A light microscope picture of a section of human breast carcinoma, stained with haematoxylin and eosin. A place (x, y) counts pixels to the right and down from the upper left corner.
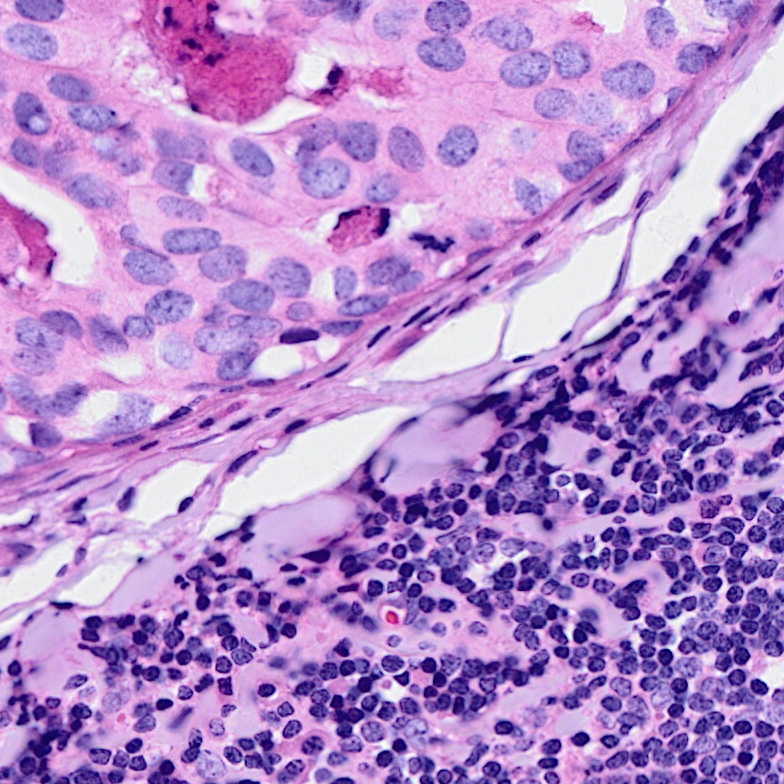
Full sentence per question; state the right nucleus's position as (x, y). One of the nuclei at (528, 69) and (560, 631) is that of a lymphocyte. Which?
The cell to which the nucleus at (560, 631) belongs is a lymphocyte.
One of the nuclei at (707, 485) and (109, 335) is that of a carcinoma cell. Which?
Between the two nuclei, the one sitting at (109, 335) belongs to a carcinoma cell.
